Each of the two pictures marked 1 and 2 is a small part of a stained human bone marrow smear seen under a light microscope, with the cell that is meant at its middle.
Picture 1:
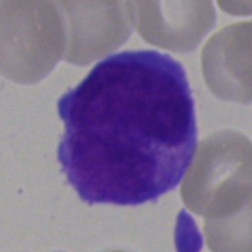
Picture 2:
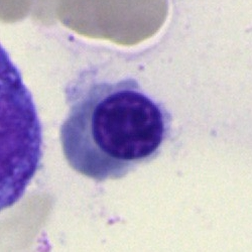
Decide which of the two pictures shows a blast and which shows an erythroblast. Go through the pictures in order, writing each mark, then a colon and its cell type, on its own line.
1: blast
2: erythroblast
